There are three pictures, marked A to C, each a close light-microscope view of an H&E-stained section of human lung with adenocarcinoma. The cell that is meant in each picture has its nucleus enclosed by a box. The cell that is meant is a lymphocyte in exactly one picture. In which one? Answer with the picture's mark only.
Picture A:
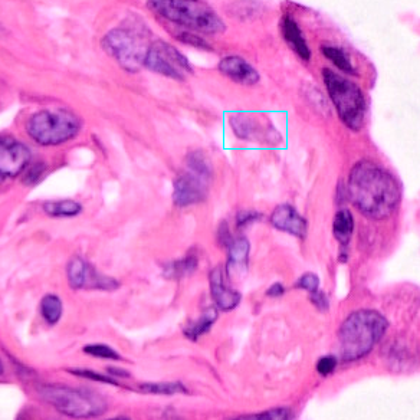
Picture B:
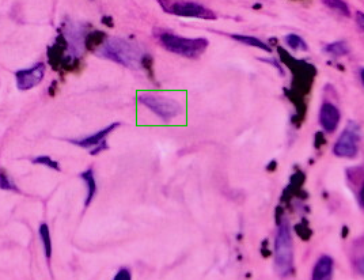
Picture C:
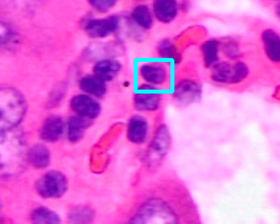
C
